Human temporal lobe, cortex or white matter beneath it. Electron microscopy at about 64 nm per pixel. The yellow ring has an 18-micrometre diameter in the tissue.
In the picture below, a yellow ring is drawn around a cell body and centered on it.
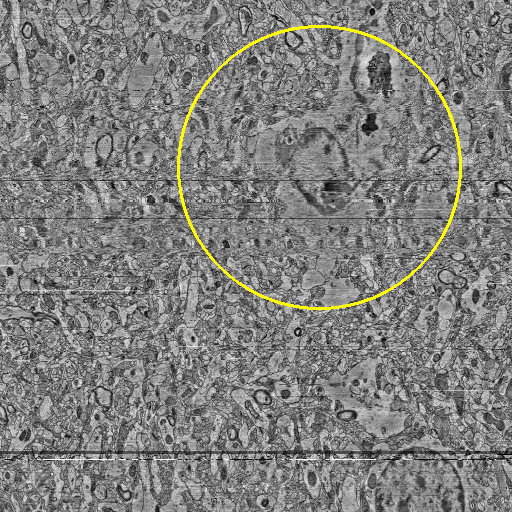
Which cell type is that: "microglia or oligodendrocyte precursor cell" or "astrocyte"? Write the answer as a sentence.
The cell centered in the ring is an astrocyte.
